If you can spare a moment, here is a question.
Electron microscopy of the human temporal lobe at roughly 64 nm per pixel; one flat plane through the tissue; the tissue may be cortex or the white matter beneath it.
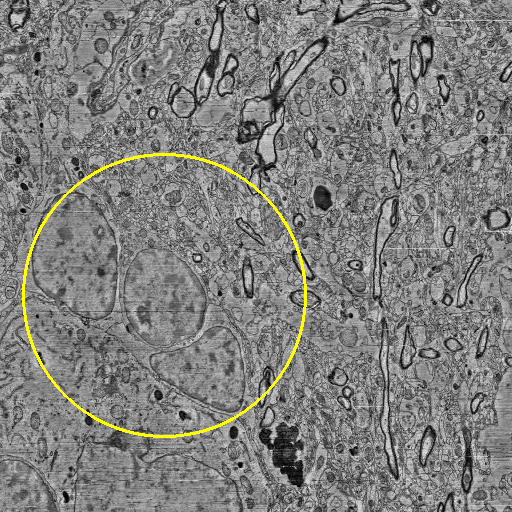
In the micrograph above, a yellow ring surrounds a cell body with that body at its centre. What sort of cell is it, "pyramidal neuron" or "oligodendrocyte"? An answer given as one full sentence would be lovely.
Centred inside the yellow ring, the cell body shown belongs to an oligodendrocyte in this micrograph.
